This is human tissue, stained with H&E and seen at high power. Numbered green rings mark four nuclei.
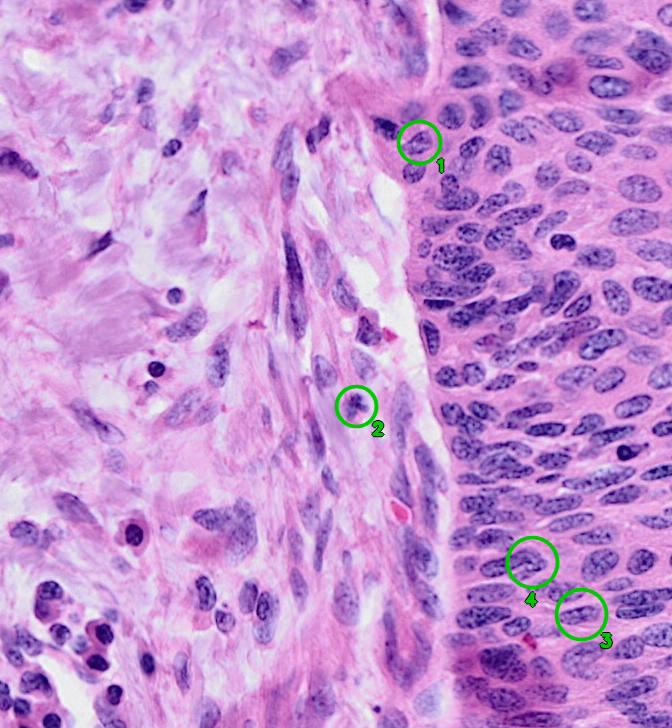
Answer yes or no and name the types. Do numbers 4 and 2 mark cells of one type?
No, a lymphocyte is what cell 2 is, while cell 4 is a squamous carcinoma cell.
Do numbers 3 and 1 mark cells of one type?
Yes, cells 3 and 1 are two squamous carcinoma cells.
